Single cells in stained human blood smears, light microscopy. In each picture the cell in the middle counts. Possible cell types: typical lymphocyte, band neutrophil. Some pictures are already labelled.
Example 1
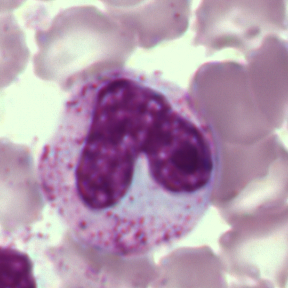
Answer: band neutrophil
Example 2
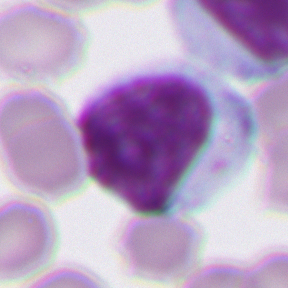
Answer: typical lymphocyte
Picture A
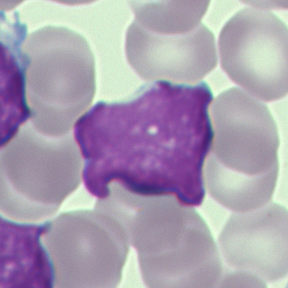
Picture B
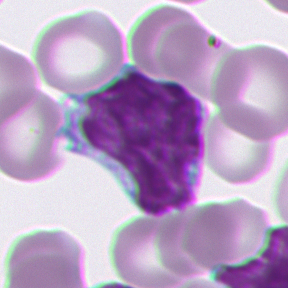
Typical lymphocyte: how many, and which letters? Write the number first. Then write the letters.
2: A, B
